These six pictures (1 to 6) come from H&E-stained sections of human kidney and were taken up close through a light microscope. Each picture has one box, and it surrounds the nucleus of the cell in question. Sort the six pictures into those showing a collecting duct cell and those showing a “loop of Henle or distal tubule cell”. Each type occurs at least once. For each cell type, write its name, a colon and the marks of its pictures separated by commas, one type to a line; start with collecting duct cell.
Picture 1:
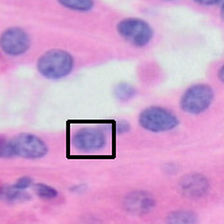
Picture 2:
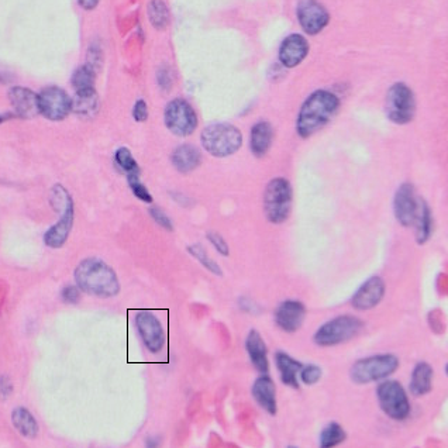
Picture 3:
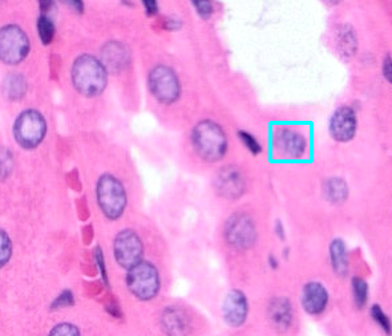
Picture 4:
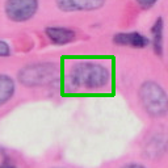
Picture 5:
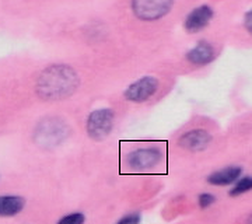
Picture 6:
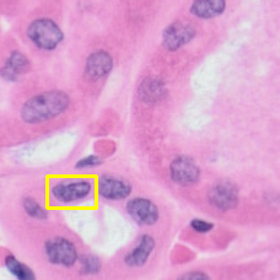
collecting duct cell: 2, 4, 6
loop of Henle or distal tubule cell: 1, 3, 5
